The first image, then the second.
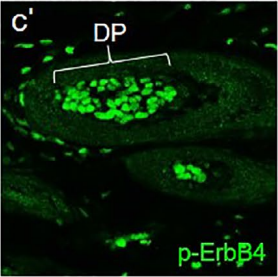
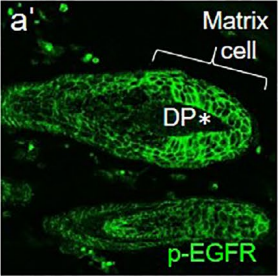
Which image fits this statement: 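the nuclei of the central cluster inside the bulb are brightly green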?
the first image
